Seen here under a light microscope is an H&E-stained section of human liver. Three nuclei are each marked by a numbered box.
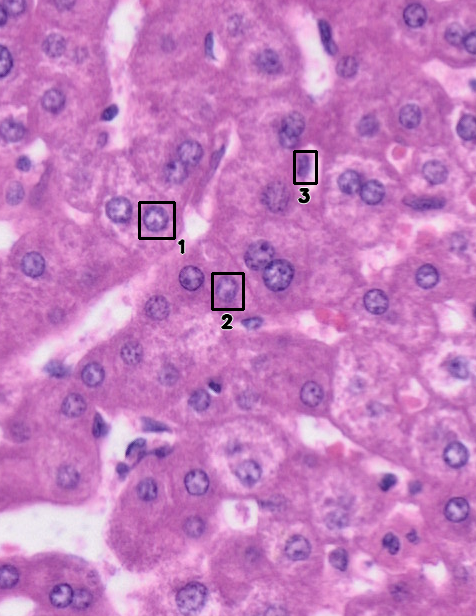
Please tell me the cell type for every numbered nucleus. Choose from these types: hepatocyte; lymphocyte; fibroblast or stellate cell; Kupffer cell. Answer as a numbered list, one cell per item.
1. hepatocyte
2. hepatocyte
3. Kupffer cell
